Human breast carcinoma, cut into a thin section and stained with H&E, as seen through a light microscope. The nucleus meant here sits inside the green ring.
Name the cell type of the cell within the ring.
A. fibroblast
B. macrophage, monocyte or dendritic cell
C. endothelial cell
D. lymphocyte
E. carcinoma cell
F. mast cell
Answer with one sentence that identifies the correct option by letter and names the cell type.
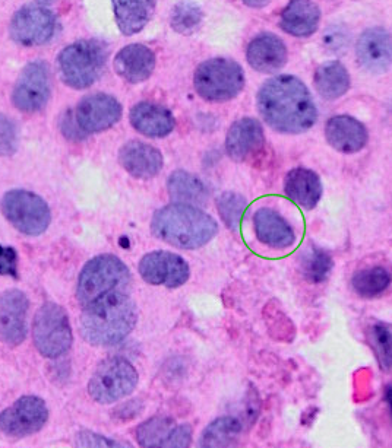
Option E is the one that fits, as the cell within the ring is a carcinoma cell.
